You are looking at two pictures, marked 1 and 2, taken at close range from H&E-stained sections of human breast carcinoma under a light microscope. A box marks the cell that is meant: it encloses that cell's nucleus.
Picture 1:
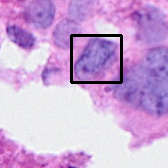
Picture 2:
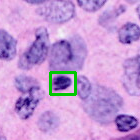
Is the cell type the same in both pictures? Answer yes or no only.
no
